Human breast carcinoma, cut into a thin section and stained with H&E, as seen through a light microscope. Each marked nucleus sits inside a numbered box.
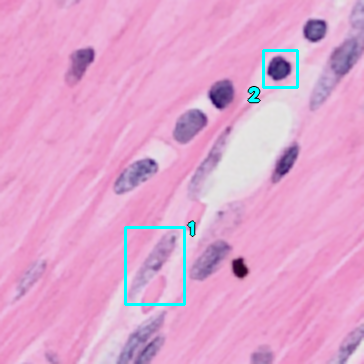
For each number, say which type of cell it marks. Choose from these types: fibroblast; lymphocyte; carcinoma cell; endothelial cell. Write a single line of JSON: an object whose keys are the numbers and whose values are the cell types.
{"1": "endothelial cell", "2": "lymphocyte"}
